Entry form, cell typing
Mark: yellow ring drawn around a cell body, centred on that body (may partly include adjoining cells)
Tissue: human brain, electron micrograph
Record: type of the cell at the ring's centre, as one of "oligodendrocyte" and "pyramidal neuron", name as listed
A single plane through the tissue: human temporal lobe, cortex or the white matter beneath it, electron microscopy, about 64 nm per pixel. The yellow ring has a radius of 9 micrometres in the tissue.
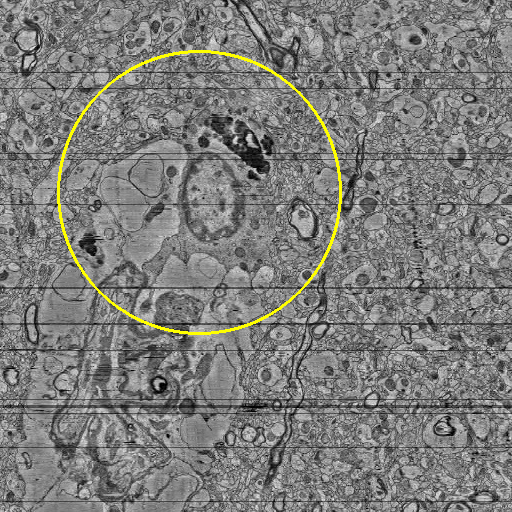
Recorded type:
oligodendrocyte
